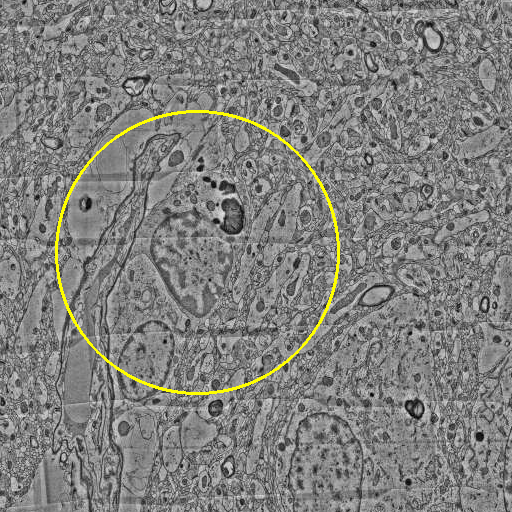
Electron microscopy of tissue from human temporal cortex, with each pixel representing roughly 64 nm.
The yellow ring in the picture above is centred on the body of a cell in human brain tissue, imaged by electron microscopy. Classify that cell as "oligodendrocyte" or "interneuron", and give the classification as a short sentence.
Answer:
The cell in the middle of the ring is an oligodendrocyte.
